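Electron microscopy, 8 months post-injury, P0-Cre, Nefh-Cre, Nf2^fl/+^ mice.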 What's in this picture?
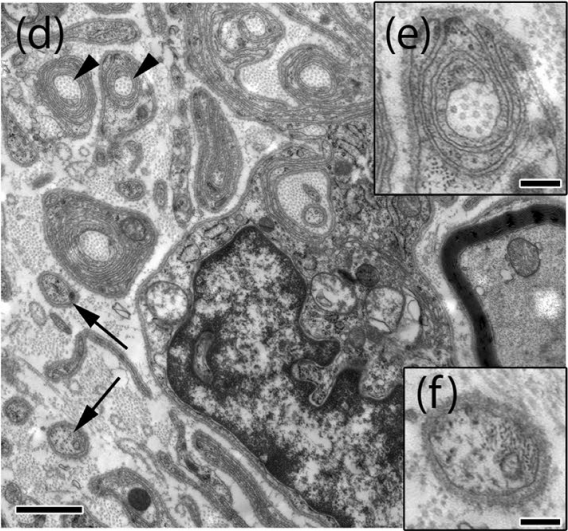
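This cross-section of a degenerating peripheral nerve shows mostly single non-myelinated axons, collagen pockets and a large Schwann cell nucleus. A big nucleus with dense, clumped chromatin sits at the lower centre, with irregular processes and vacuoles beside it. Around it lie many rounded profiles wrapped by several thin concentric cell processes, some enclosing dotted collagen fibrils and others small single axons. Only one edge of a dark myelin sheath appears at the right border, and two enlarged insets show a layered pocket of fibrils and a single small axon.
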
